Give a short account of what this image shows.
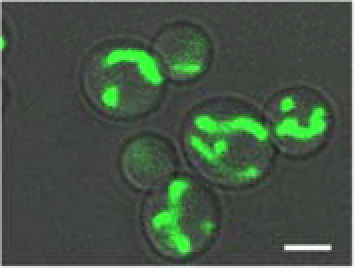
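Budding yeast cells are seen as round to oval outlines with a distinct cell wall, some with a smaller bud still attached to the mother cell. Within most cells a bright green signal forms thick, tubular and branching strands that curve along the inner edge of the cell, the typical appearance of a mitochondrial network. Between the strands the cytoplasm is only faintly green.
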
